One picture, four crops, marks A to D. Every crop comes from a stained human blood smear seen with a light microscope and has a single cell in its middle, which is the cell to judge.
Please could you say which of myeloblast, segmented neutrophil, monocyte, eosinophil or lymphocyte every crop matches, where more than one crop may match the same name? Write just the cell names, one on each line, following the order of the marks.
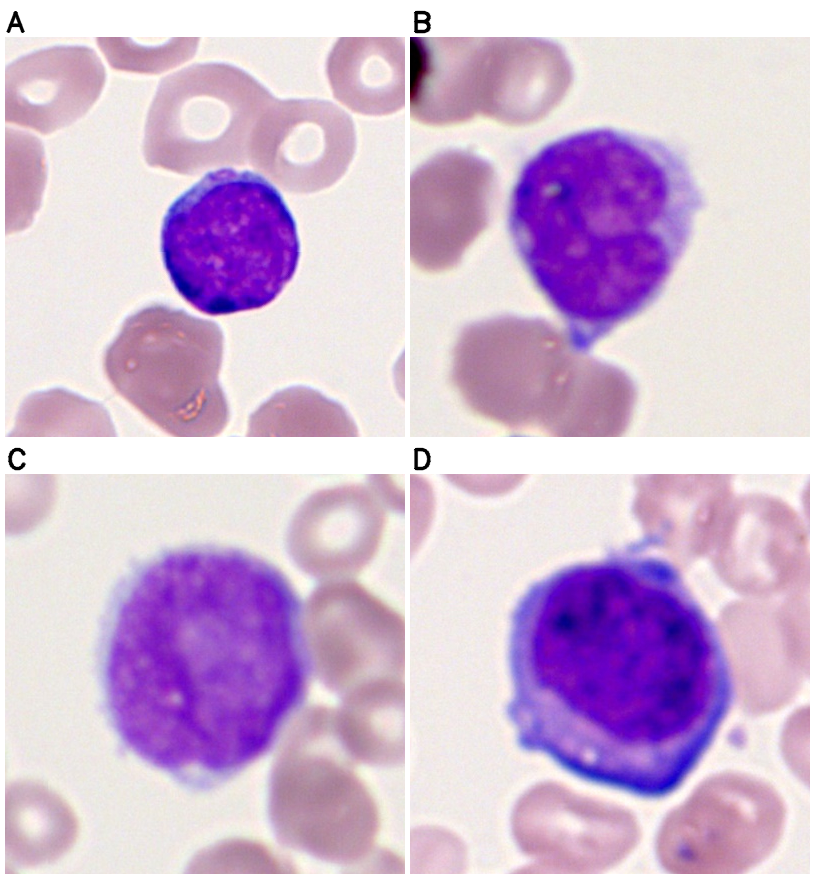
lymphocyte
monocyte
monocyte
myeloblast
